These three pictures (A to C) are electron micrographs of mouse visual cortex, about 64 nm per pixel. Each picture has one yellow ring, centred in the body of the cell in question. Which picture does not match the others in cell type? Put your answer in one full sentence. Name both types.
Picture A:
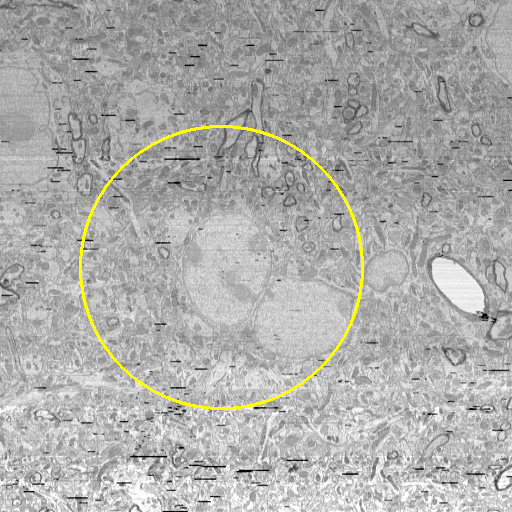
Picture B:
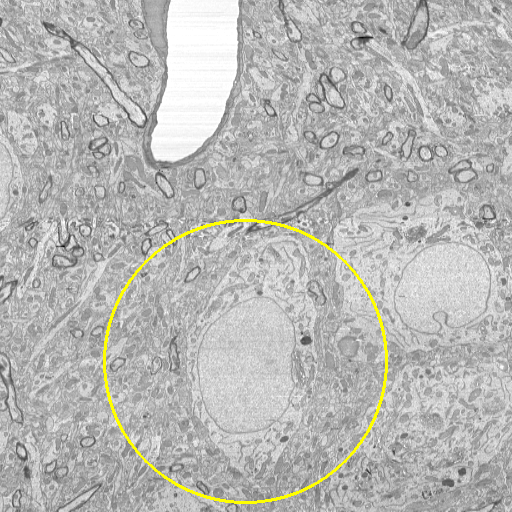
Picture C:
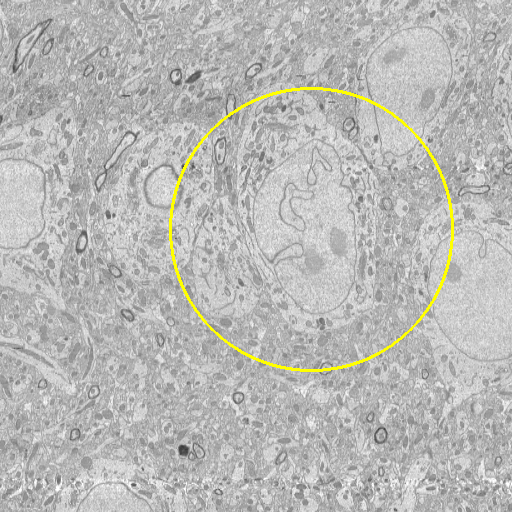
The others show inhibitory neurons, but picture A shows an astrocyte.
